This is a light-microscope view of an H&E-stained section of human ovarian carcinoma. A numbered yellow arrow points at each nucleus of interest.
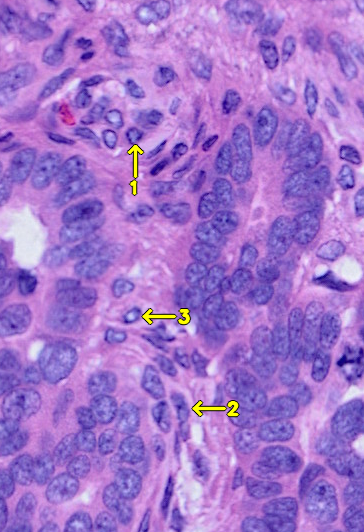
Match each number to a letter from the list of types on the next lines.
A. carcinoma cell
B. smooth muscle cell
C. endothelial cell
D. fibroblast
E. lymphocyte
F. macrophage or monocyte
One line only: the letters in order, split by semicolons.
C; D; D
